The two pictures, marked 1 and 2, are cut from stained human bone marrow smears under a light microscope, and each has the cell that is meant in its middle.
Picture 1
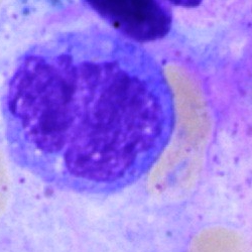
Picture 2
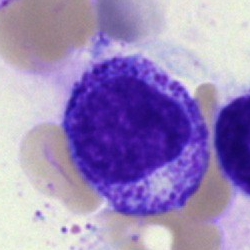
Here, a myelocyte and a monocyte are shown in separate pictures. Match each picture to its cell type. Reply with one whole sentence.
Picture 1 is of a monocyte, and picture 2 is of a myelocyte.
